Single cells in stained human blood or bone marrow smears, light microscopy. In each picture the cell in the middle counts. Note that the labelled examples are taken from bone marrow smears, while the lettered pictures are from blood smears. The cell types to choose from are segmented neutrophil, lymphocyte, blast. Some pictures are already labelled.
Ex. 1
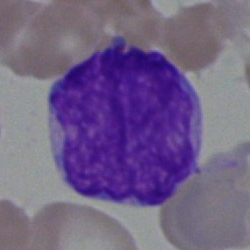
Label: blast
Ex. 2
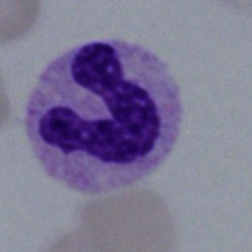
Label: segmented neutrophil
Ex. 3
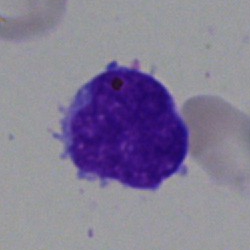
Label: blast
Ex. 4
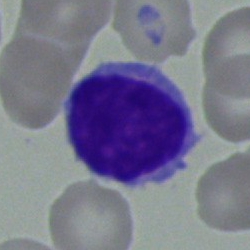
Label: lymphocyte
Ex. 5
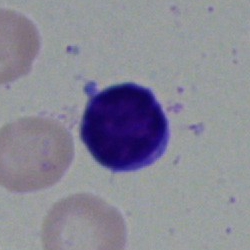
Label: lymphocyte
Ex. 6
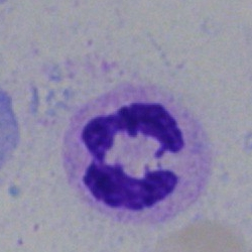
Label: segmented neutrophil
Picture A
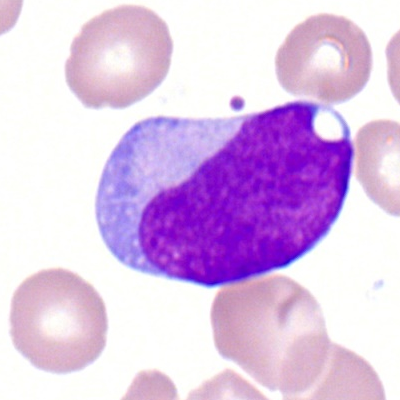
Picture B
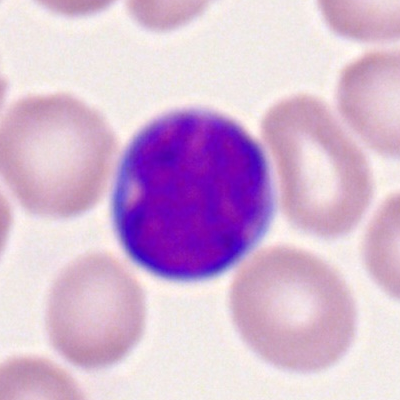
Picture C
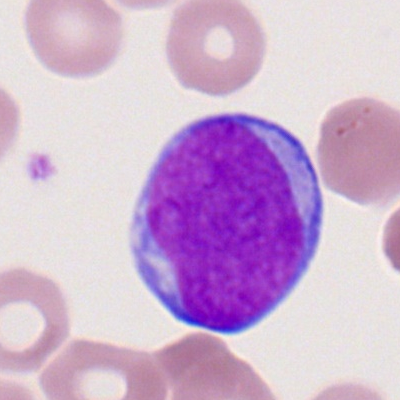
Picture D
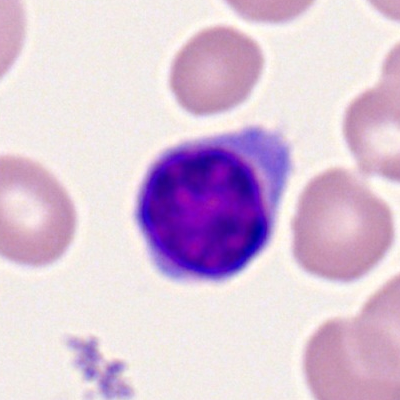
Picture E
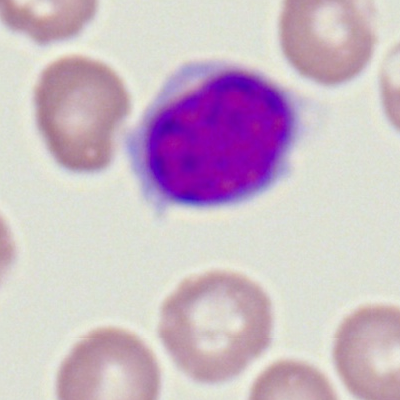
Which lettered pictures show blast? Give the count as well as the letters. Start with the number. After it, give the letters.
3: A, B, C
